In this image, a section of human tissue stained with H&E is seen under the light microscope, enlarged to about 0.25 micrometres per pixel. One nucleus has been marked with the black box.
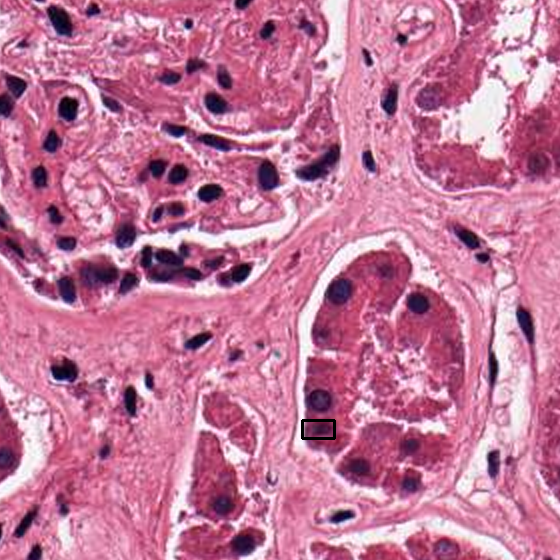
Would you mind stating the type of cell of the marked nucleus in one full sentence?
In this picture it is a proximal tubule cell whose nucleus is marked.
